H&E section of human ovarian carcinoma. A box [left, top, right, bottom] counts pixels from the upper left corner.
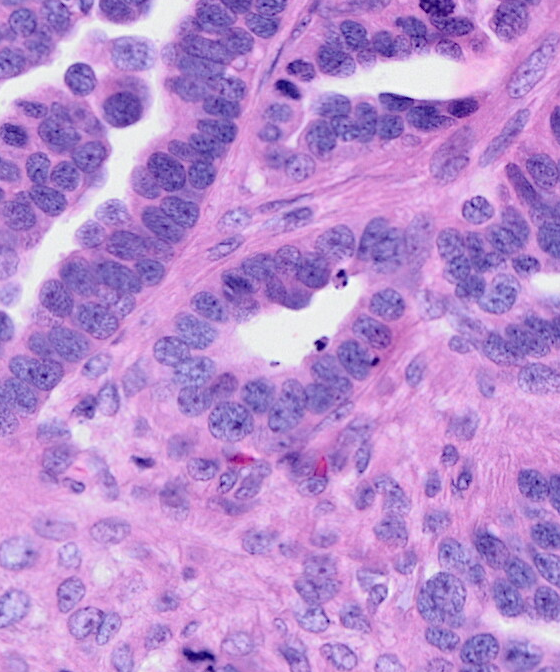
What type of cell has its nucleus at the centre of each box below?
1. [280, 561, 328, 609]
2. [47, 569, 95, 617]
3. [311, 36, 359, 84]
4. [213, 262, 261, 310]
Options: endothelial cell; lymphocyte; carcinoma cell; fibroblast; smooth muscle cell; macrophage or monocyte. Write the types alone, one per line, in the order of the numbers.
fibroblast
fibroblast
carcinoma cell
carcinoma cell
